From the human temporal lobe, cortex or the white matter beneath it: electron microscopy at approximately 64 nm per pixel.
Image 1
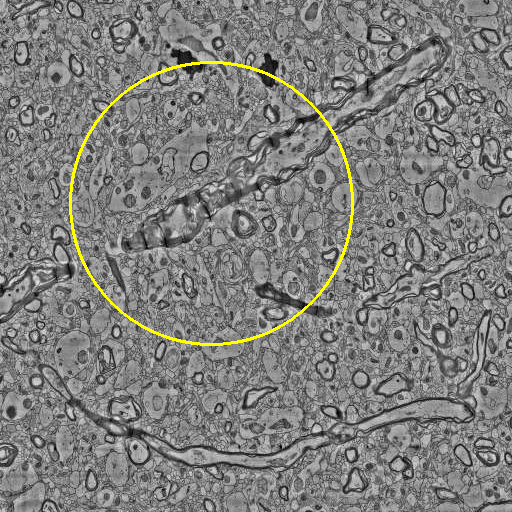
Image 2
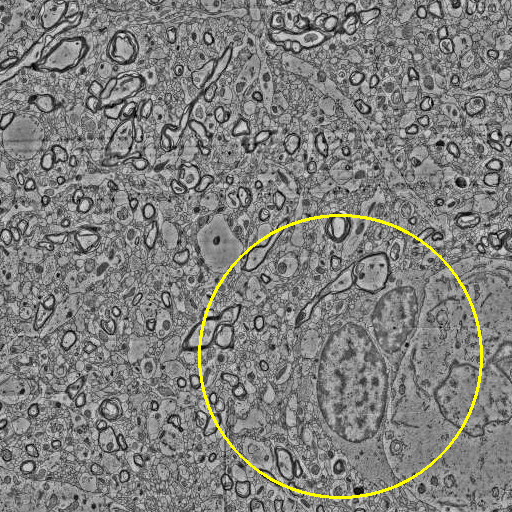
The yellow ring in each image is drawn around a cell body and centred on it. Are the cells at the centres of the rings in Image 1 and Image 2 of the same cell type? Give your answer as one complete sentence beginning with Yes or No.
Yes, both cells are of the same type.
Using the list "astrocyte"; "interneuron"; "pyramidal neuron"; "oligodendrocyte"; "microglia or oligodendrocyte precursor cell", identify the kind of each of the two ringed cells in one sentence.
In each picture the ringed cell is an oligodendrocyte.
